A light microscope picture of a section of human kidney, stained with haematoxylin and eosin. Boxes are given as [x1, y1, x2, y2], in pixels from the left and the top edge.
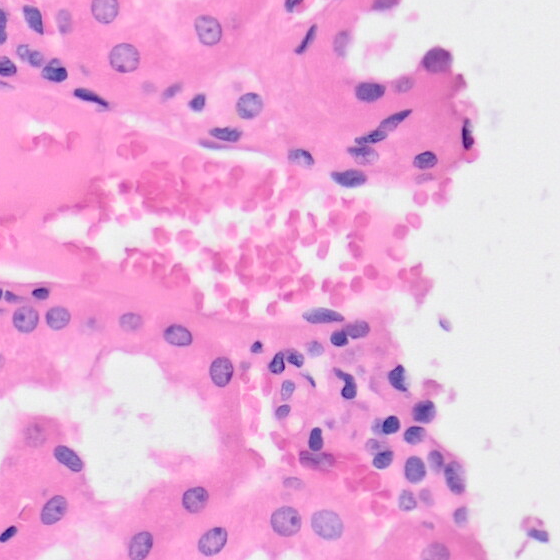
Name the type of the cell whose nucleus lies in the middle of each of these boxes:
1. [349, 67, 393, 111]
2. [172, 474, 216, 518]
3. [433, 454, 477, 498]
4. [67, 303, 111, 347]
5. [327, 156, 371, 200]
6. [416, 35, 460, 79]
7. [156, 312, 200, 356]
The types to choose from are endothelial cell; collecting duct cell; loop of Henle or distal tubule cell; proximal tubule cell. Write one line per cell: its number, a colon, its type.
1: loop of Henle or distal tubule cell
2: proximal tubule cell
3: collecting duct cell
4: proximal tubule cell
5: endothelial cell
6: loop of Henle or distal tubule cell
7: proximal tubule cell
